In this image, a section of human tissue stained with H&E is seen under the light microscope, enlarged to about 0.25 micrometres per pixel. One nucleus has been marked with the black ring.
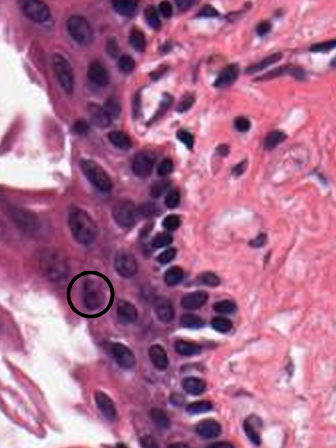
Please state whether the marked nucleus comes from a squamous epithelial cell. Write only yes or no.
yes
